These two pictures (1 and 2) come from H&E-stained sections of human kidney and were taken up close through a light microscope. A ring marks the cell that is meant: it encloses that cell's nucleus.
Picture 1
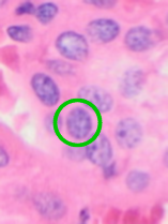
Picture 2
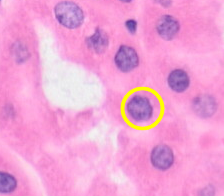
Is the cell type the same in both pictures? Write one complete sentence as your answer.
No, the types are not the same, since picture 1 shows a collecting duct cell and picture 2 a proximal tubule cell.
